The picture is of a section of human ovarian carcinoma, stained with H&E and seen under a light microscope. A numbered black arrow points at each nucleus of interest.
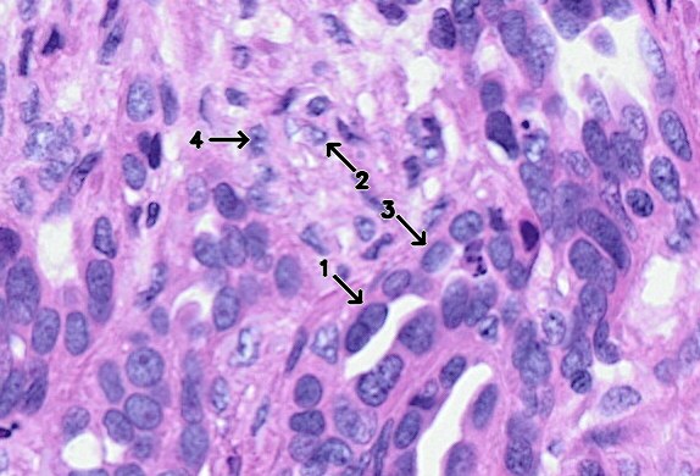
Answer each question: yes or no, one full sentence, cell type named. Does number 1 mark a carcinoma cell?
Yes, regarding cell number 1, it is a carcinoma cell.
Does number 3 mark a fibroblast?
No, it is a carcinoma cell, not a fibroblast, at number 3.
